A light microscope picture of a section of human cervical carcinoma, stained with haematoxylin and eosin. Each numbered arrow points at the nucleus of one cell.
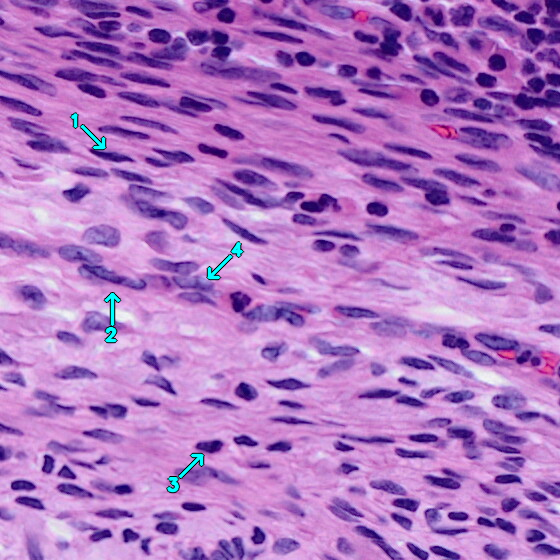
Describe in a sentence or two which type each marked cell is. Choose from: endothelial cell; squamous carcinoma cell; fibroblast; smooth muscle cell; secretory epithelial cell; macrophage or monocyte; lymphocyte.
Cell 1 is a fibroblast, cell 2 is an endothelial cell, cell 3 is a lymphocyte and cell 4 is an endothelial cell.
